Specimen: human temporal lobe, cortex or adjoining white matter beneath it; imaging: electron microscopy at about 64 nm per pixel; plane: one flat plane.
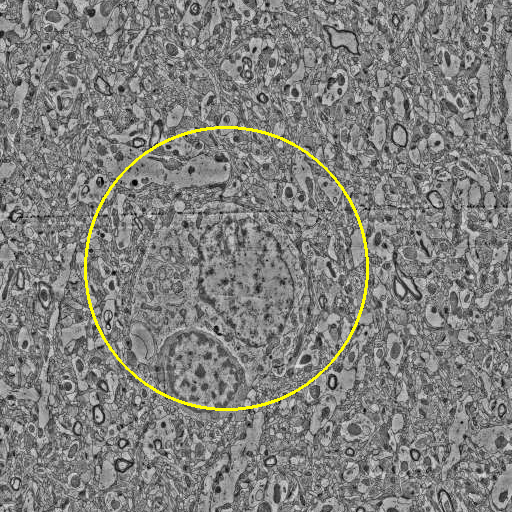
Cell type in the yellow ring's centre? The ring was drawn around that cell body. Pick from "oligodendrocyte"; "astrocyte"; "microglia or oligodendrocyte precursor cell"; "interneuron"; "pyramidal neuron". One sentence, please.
The ringed cell body is that of an interneuron.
